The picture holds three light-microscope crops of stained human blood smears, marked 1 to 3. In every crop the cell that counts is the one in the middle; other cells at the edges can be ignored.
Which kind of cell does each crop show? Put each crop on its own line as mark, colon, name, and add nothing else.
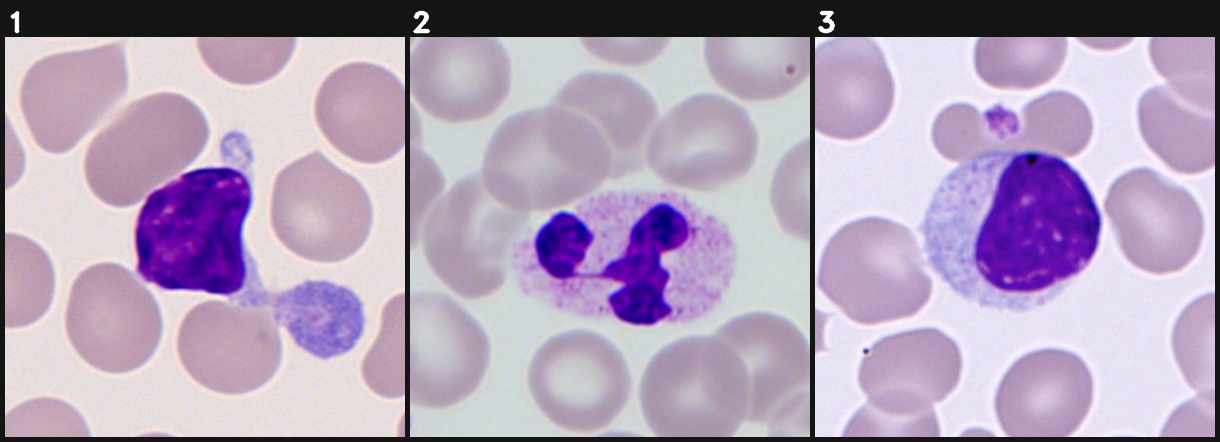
1: lymphocyte
2: segmented neutrophil
3: lymphocyte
